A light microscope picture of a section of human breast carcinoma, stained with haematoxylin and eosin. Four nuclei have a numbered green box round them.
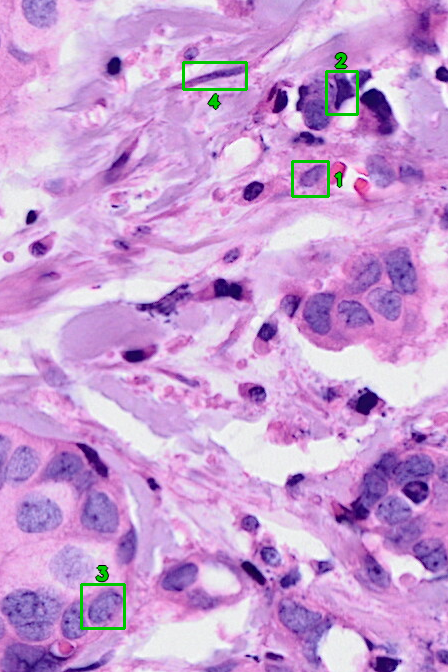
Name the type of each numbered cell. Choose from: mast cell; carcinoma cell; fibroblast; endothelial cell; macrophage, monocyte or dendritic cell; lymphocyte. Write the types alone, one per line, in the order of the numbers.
endothelial cell
carcinoma cell
carcinoma cell
fibroblast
